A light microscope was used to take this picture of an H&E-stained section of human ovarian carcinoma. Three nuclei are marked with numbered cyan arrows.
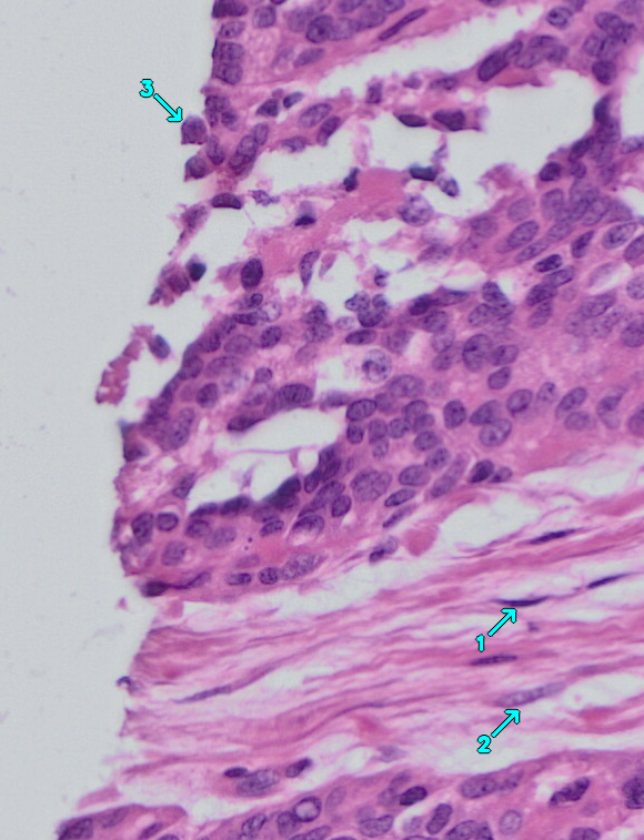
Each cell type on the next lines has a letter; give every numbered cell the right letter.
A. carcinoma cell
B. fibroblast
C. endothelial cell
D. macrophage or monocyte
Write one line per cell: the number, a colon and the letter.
1: B
2: B
3: A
